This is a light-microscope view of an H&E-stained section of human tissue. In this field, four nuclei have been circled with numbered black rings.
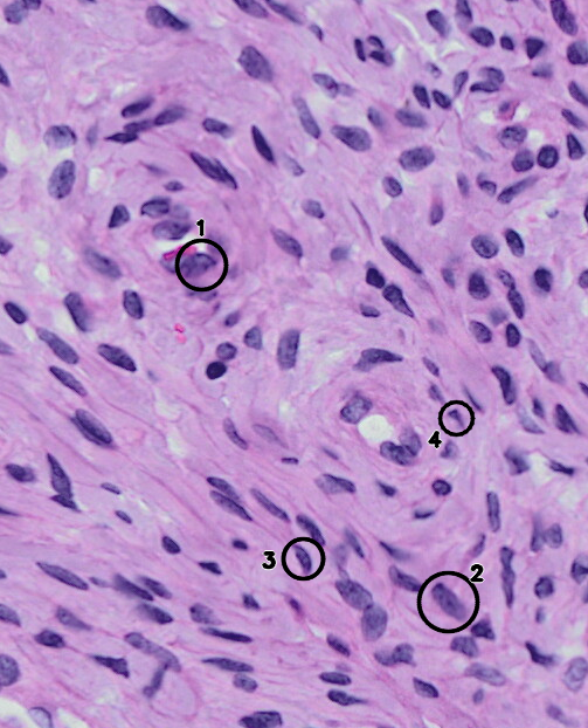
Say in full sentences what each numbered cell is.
Cell 1 is an endothelial cell, cell 2 is a fibroblast, cell 3 is a fibroblast and cell 4 is a fibroblast.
